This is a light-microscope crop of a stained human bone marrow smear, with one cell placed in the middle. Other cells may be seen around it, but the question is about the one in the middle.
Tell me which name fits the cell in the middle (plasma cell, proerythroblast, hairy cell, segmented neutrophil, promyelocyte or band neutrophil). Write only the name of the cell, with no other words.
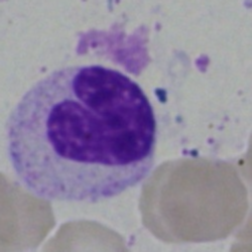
band neutrophil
